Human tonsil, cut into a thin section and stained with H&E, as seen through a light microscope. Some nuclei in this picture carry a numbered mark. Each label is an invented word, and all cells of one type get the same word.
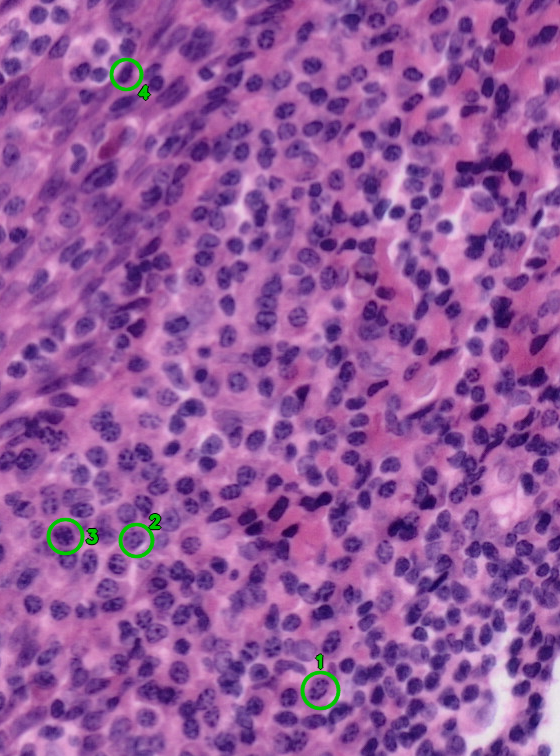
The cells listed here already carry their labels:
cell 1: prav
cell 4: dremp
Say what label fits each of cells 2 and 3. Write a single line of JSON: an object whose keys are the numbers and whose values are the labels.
{"2": "prav", "3": "prav"}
